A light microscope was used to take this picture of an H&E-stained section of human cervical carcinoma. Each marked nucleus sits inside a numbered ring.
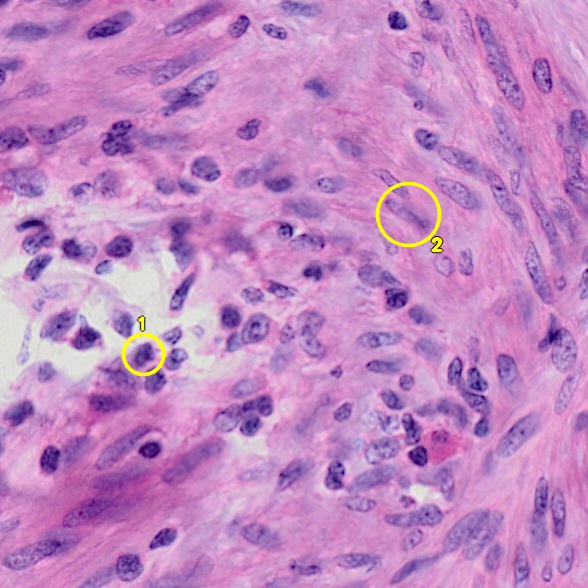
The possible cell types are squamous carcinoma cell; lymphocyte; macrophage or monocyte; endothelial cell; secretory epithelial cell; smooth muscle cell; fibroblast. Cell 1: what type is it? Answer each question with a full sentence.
Cell 1 in the field of view is a lymphocyte.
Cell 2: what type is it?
As for number 2, that cell is a smooth muscle cell.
